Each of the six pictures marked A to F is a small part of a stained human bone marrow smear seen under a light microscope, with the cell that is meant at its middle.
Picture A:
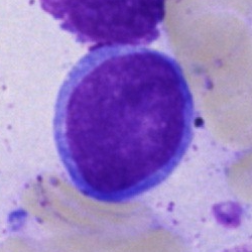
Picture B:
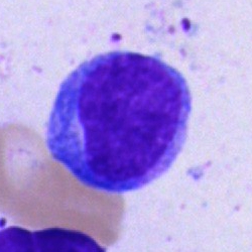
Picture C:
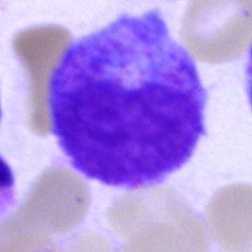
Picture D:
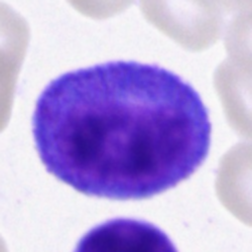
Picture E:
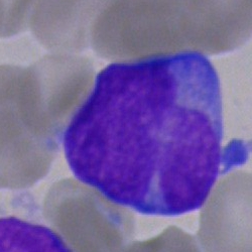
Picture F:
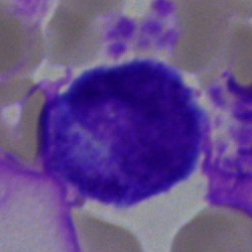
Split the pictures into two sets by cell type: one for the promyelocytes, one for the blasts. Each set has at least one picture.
A: blast
B: blast
C: promyelocyte
D: promyelocyte
E: blast
F: promyelocyte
